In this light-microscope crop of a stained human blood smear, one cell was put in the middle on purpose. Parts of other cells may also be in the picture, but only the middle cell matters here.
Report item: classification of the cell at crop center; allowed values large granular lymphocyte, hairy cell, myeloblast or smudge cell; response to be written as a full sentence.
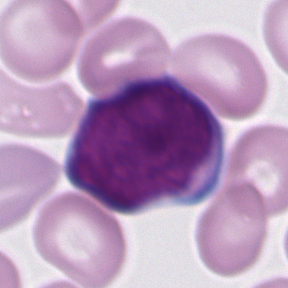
The cell of interest, in the center, is a myeloblast.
